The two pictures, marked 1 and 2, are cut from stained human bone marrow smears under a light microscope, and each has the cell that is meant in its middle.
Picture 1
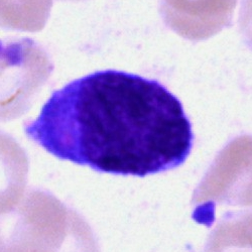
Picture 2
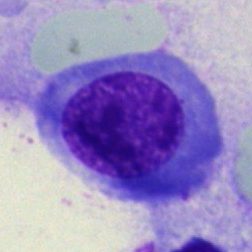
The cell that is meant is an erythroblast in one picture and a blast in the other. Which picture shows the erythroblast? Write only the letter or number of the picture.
2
